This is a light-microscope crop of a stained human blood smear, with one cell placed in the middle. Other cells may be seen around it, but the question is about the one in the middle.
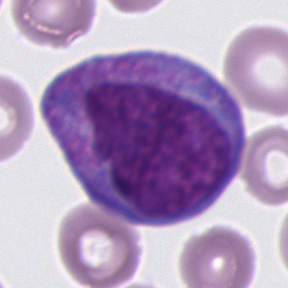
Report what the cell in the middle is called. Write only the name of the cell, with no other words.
atypical promyelocyte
